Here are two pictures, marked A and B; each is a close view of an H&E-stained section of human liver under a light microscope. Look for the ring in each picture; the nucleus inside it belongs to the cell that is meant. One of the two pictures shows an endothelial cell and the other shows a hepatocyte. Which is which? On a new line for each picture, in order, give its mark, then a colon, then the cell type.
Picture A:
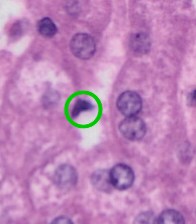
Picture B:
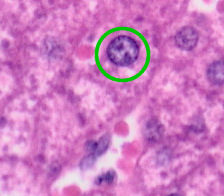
A: endothelial cell
B: hepatocyte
